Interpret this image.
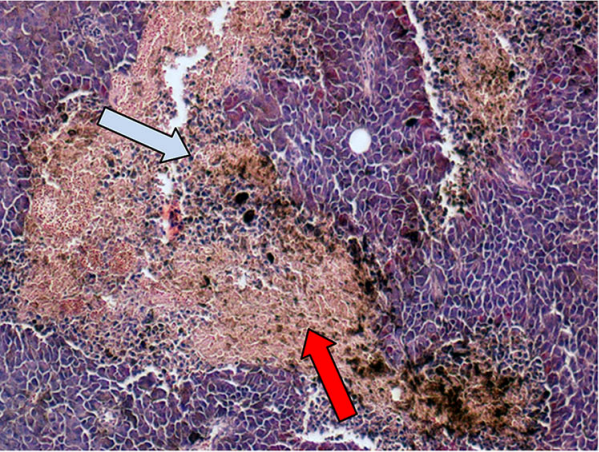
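The living tumor tissue consists of closely packed cells with purple nuclei, forming solid sheets. Within the necrotic area nuclei are largely lost and the tissue looks pale and structureless. Along its edges many small cells with dark round nuclei gather, marking immune cells infiltrating the tumor. Clumps of dark brown to black material also lie at the margin of the necrosis.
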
